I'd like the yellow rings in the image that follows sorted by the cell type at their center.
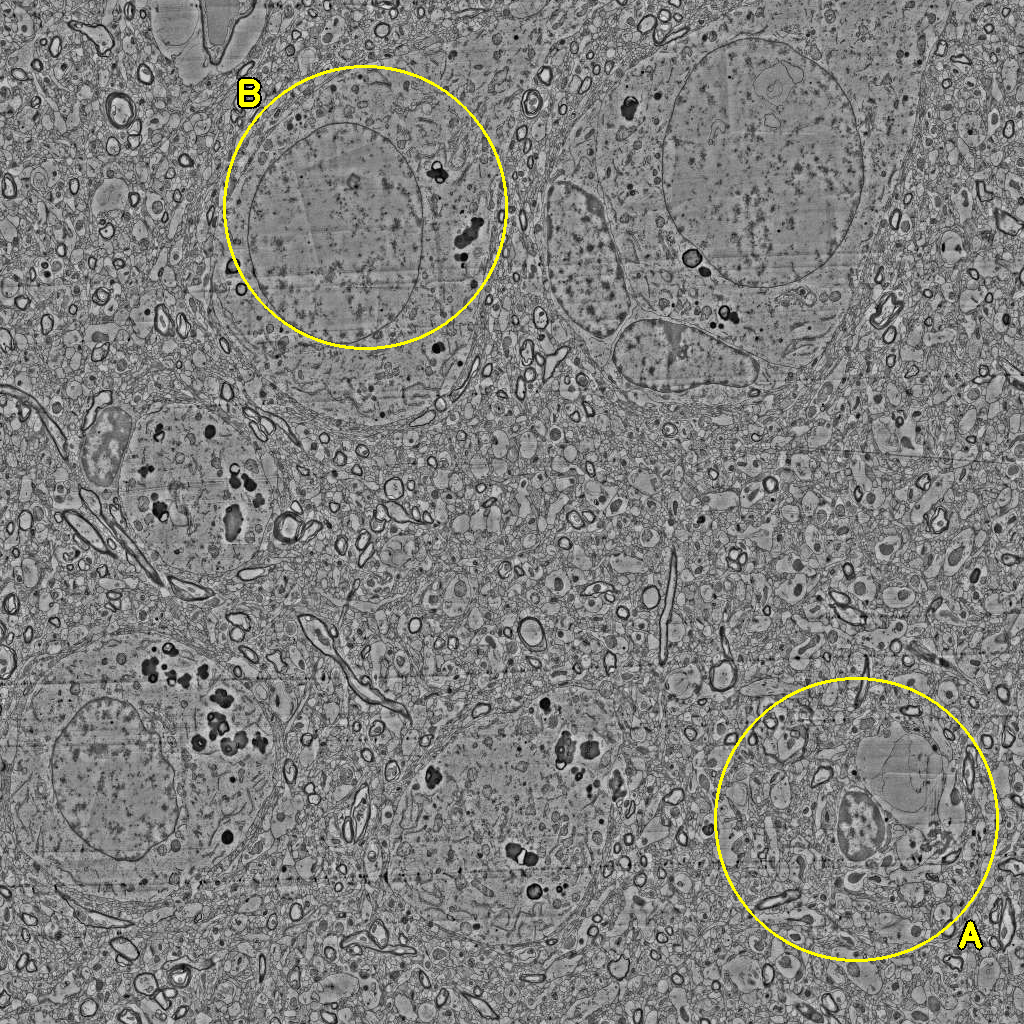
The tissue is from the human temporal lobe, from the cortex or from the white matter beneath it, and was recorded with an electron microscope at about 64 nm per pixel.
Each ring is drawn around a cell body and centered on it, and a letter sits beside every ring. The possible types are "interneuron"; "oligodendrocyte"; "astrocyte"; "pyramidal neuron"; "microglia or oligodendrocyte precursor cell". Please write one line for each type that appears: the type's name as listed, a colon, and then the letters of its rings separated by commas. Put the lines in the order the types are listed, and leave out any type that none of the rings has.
pyramidal neuron: B
microglia or oligodendrocyte precursor cell: A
